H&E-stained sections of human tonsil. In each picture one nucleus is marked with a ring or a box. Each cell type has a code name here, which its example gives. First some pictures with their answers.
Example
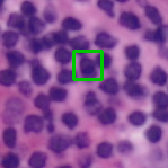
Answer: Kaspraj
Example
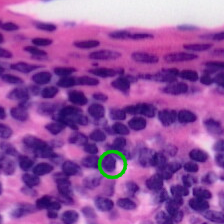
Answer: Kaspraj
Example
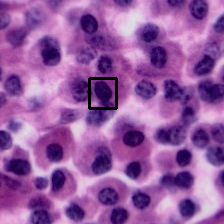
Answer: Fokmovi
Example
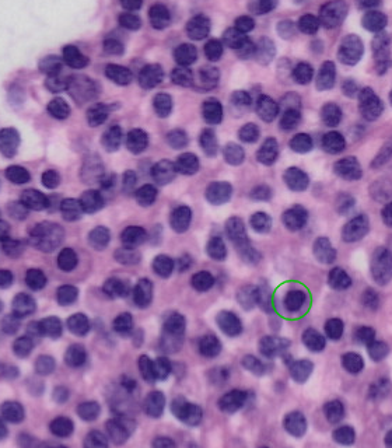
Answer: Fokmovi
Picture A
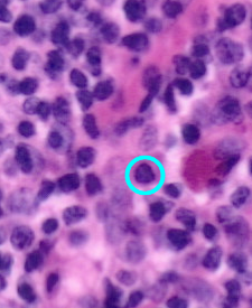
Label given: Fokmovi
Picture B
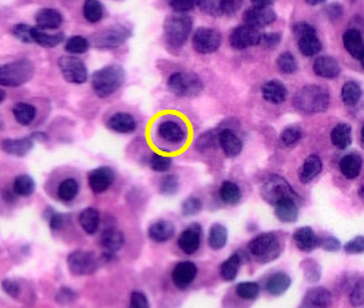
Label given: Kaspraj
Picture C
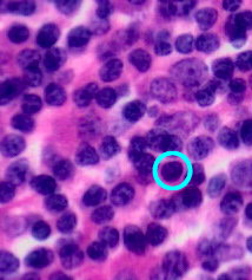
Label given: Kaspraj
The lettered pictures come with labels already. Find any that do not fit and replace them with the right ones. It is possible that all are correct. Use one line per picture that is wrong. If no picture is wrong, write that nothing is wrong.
B: not Kaspraj but Fokmovi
